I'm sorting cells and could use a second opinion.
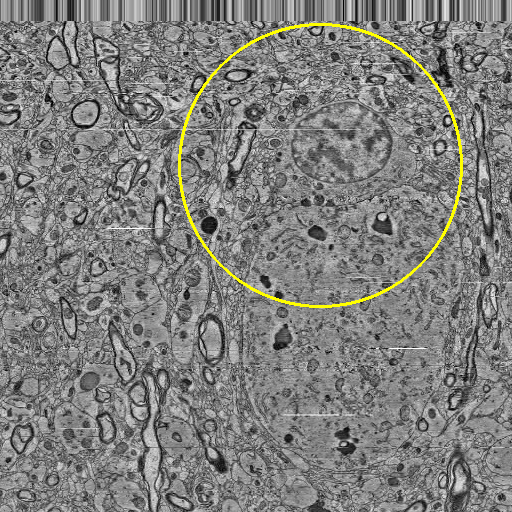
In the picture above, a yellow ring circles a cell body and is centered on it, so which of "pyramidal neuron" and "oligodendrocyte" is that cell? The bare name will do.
oligodendrocyte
